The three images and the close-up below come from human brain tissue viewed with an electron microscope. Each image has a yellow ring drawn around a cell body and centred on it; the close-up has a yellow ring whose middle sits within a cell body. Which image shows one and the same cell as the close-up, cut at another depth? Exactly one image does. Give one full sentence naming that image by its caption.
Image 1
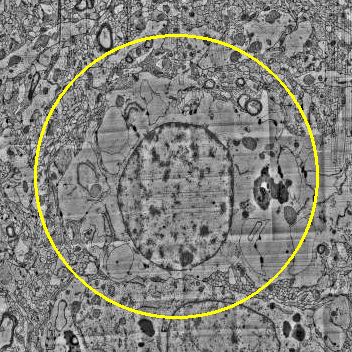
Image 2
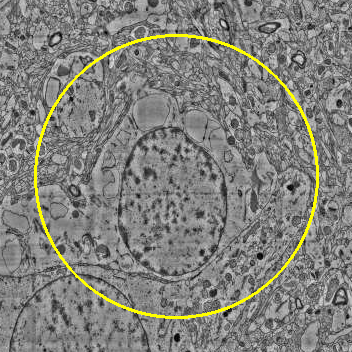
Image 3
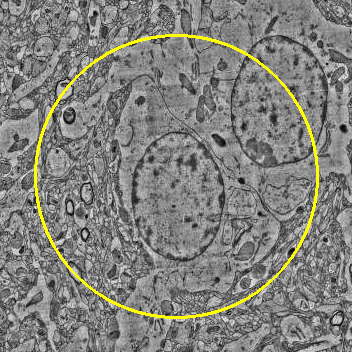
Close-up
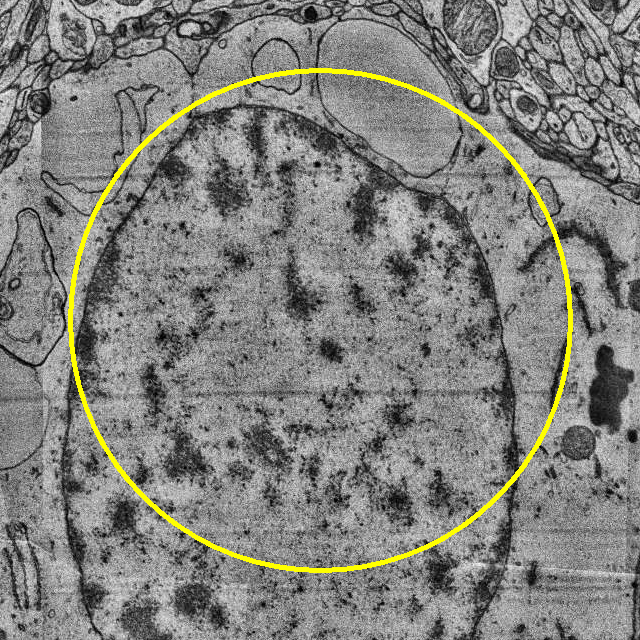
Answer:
The ring in Image 2 surrounds the cell that the close-up shows.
